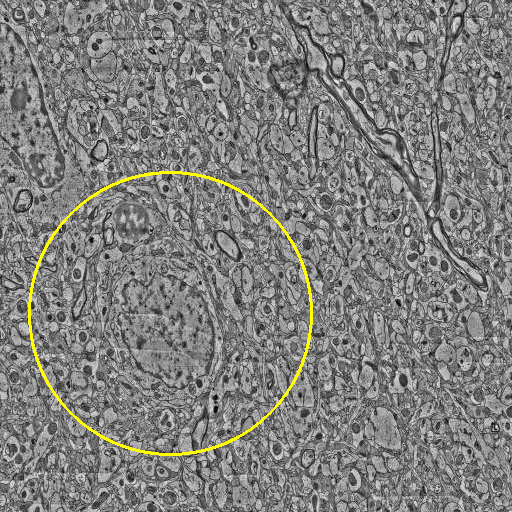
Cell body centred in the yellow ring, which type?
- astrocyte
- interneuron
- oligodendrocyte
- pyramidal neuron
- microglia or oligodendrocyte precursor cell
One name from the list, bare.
interneuron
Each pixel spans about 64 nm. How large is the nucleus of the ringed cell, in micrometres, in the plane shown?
About 8 by 6 micrometers for the nucleus, in this plane.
